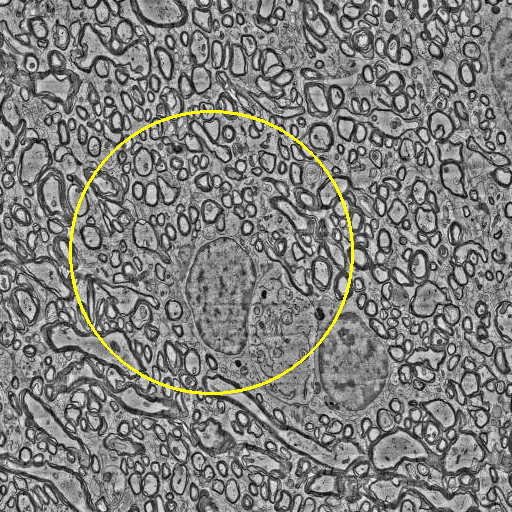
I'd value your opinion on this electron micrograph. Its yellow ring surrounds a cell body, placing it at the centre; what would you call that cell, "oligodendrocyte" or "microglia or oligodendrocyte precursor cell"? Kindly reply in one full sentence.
It is a microglial cell or oligodendrocyte precursor cell that sits centred within the yellow ring in this micrograph.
